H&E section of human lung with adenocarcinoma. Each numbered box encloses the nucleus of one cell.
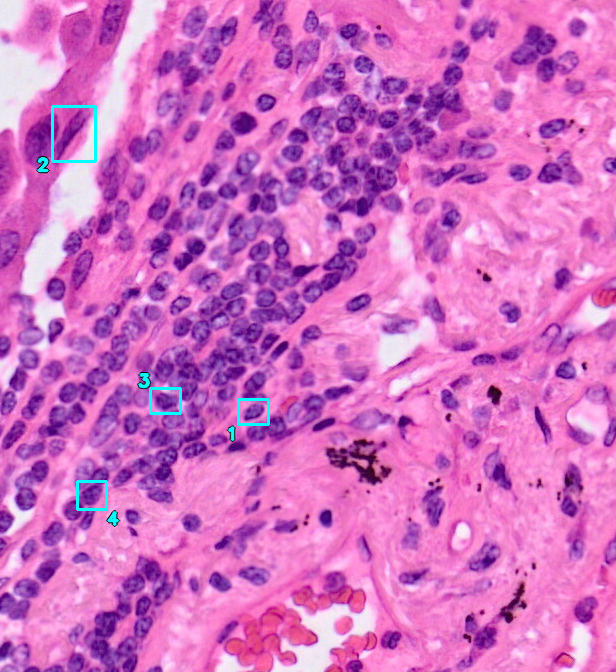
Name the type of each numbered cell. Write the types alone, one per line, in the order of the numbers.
lymphocyte
carcinoma cell
lymphocyte
lymphocyte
